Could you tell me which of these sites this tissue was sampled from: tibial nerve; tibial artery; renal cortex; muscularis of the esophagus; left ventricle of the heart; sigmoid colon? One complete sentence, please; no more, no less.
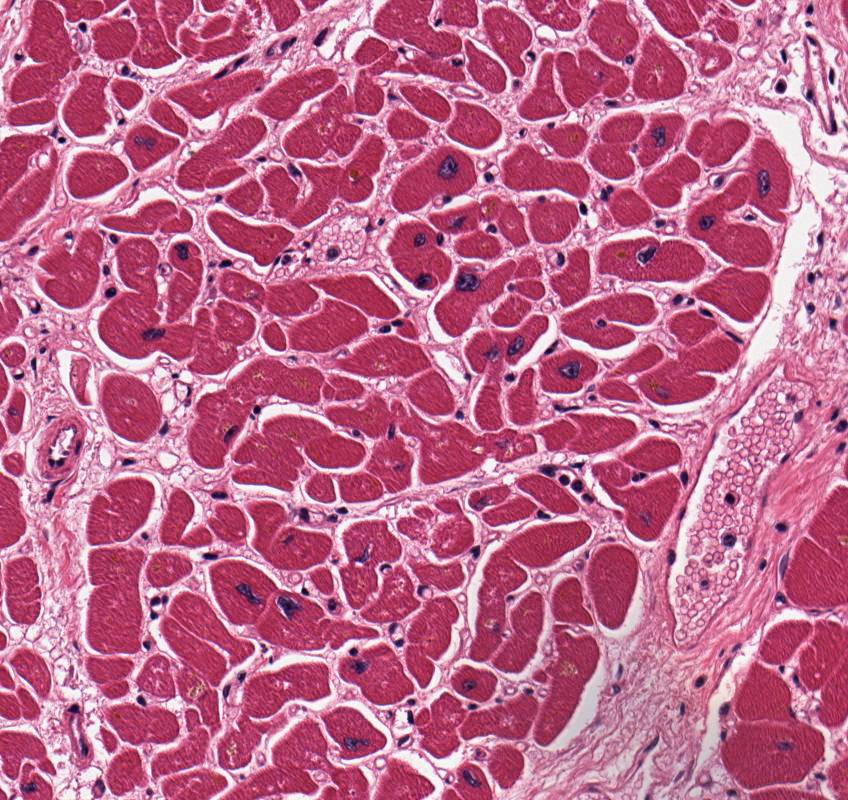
This tissue was sampled from the left ventricle of the heart.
